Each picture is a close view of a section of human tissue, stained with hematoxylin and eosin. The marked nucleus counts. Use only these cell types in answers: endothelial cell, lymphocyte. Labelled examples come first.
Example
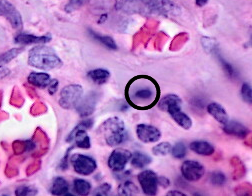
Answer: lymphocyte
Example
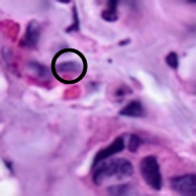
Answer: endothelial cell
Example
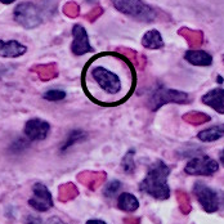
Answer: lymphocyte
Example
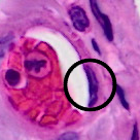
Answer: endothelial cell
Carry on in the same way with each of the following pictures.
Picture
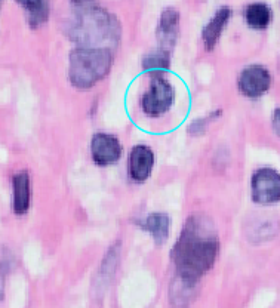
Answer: lymphocyte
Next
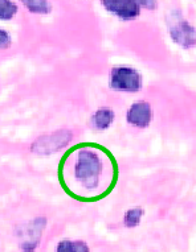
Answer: lymphocyte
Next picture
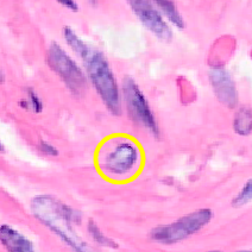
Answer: endothelial cell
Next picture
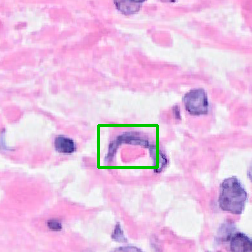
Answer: endothelial cell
